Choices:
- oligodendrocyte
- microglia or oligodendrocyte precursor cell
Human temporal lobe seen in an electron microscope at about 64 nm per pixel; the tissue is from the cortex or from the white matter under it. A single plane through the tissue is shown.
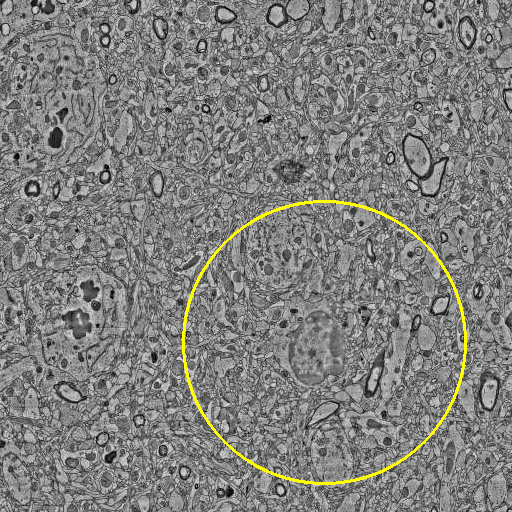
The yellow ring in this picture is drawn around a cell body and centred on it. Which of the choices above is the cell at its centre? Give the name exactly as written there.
oligodendrocyte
